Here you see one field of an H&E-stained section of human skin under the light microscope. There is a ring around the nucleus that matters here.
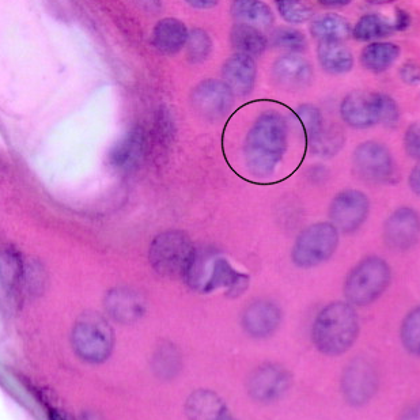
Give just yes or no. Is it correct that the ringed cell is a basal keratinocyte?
no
